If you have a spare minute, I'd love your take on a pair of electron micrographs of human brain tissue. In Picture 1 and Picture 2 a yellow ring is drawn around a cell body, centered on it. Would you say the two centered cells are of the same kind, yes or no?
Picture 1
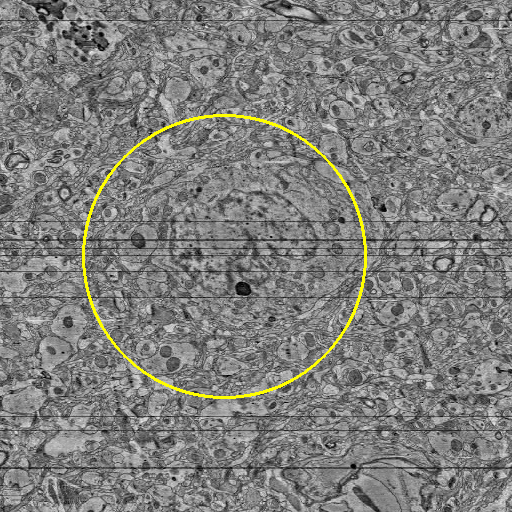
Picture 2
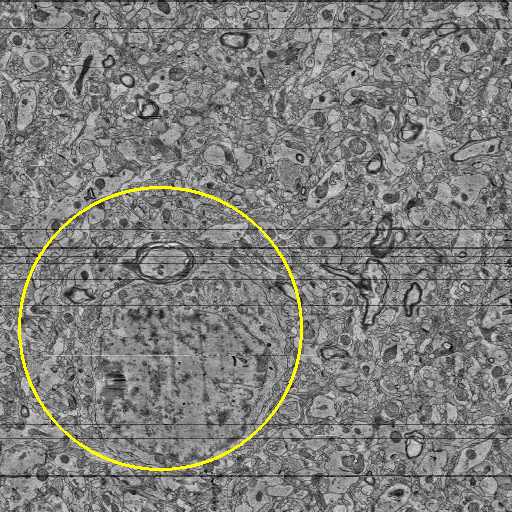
yes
